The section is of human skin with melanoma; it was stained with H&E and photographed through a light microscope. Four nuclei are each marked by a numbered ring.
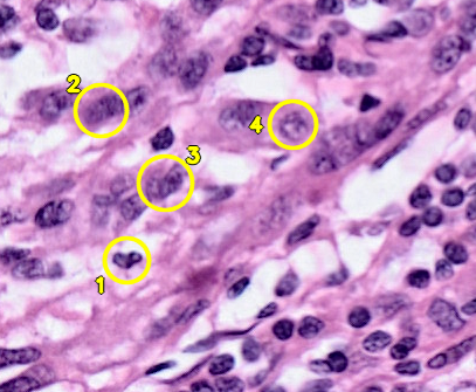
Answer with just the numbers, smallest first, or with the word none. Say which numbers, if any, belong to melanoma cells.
2, 3, 4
